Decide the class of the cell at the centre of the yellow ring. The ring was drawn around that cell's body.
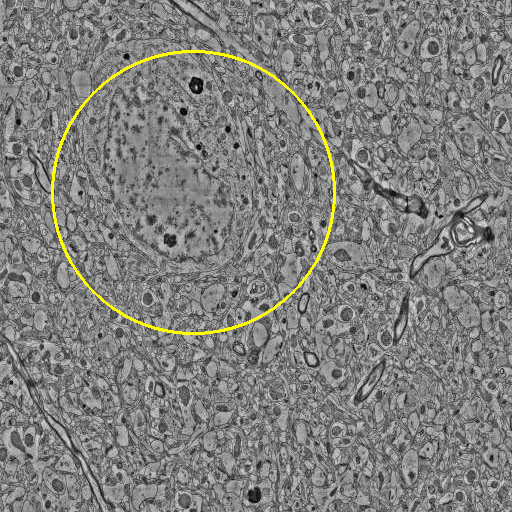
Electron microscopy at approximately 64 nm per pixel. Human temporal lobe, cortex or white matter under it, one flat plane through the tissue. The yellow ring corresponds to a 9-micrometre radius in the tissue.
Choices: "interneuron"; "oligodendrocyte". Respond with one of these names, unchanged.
interneuron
